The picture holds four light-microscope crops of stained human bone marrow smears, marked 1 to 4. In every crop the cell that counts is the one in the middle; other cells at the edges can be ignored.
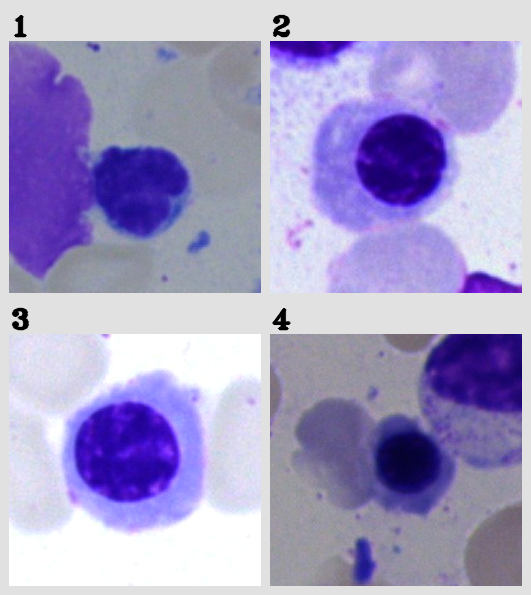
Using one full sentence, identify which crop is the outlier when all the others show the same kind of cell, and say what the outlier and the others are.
All of the other crops show erythroblasts, while crop 1 shows a lymphocyte instead.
